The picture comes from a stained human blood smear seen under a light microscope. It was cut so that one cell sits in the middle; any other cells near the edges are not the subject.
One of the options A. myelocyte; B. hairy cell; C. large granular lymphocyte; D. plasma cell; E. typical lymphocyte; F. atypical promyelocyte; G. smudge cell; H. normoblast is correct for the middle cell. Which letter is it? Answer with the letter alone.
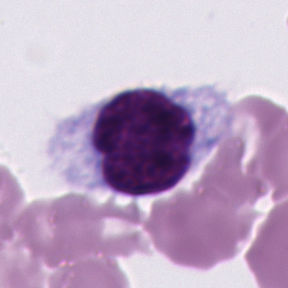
B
